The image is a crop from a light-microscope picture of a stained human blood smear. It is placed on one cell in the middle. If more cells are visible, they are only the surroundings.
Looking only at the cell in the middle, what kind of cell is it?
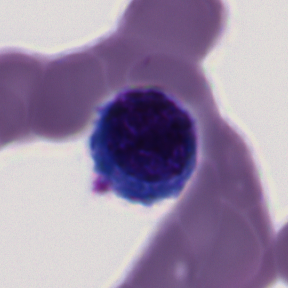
plasma cell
